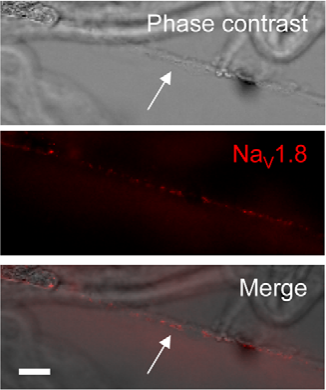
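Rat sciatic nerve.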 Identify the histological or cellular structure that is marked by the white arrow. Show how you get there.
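The arrow points to a very thin, slightly beaded fibre running diagonally. The fibre has no thick sheath, unlike the broad curving structures at the top of the field. That points to this answer: unmyelinated fibres.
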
